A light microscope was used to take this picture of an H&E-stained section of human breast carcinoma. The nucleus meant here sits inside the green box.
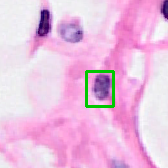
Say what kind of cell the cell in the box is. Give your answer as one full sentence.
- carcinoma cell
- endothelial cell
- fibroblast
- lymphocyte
As a matter of cell type, the cell in the box is a lymphocyte.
